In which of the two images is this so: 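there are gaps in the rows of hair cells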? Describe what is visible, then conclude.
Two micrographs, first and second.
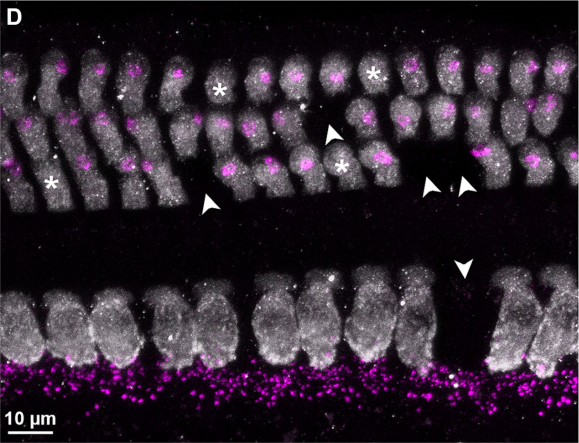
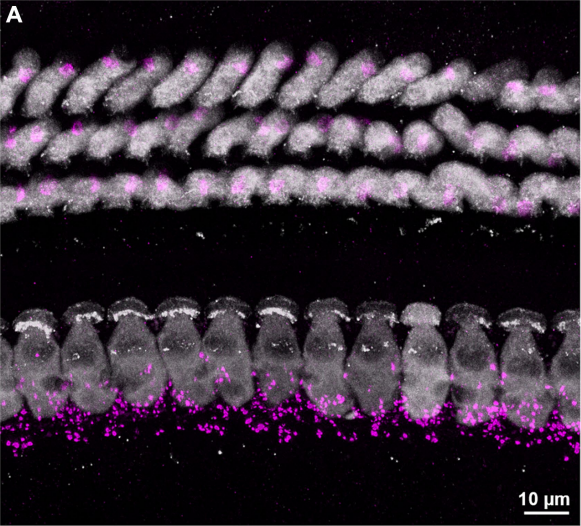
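The first image. First image: empty spaces interrupt both the upper rows and the lower row of gray cells. Second image: the rows of gray cells are continuous without gaps.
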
